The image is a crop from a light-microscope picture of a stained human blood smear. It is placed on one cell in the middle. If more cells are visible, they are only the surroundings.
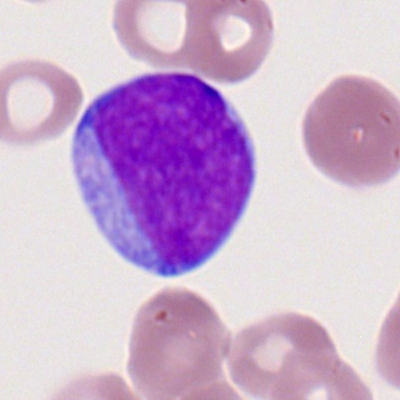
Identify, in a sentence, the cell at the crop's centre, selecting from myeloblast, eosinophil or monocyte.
Looking at the middle of the crop, the cell there is a myeloblast.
